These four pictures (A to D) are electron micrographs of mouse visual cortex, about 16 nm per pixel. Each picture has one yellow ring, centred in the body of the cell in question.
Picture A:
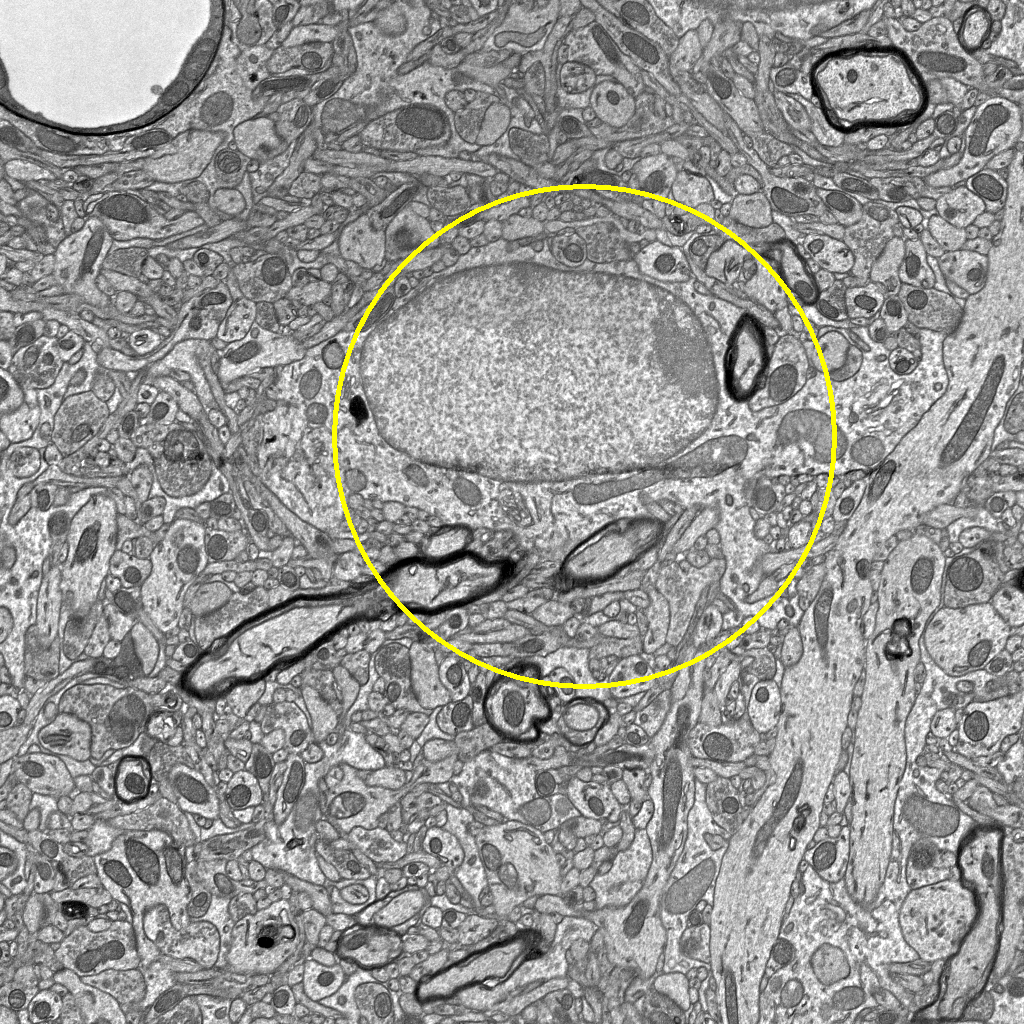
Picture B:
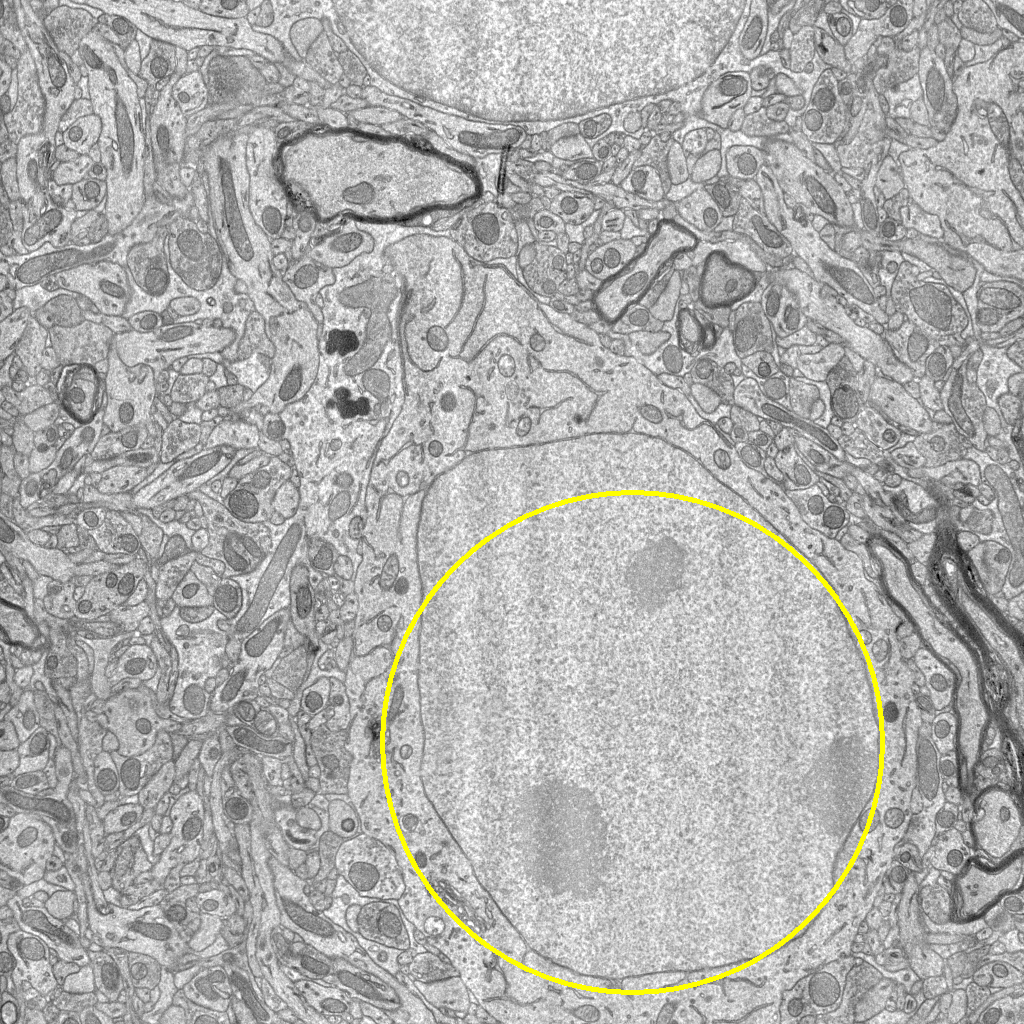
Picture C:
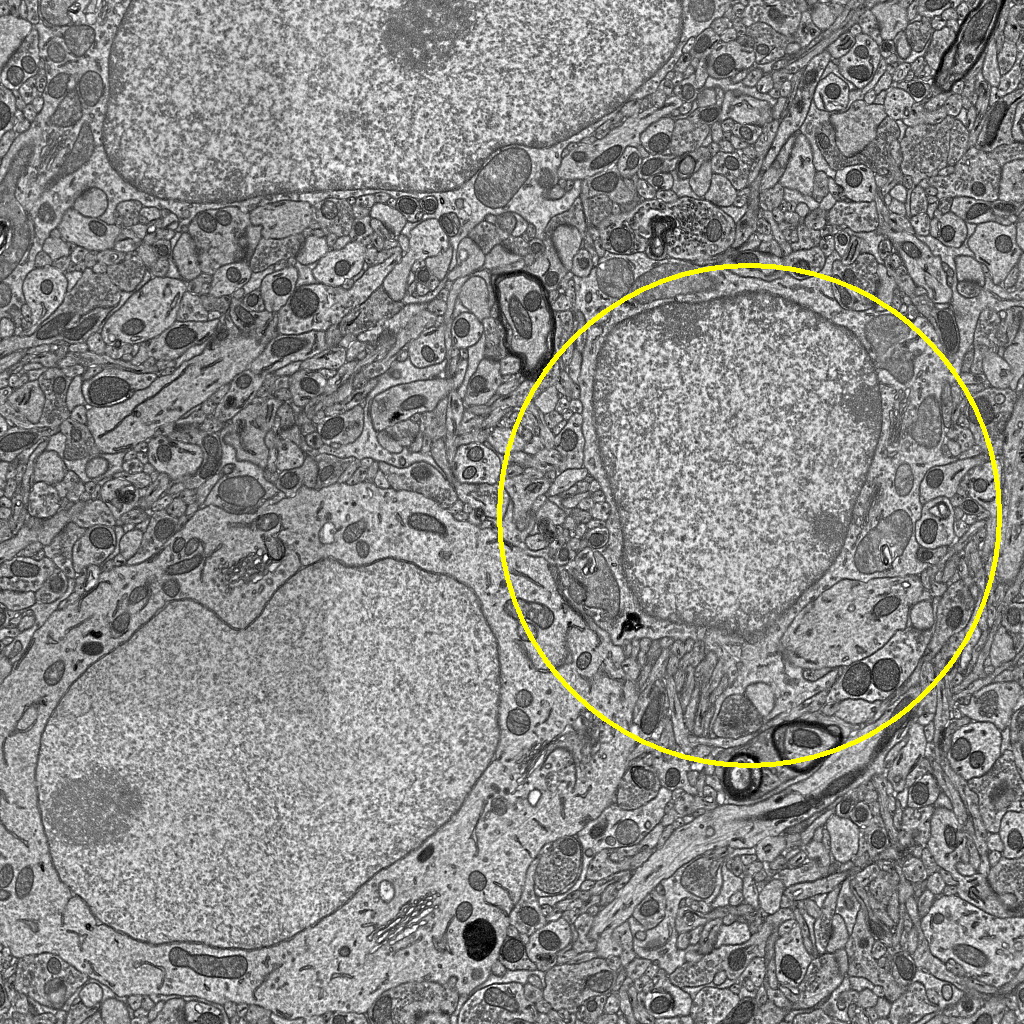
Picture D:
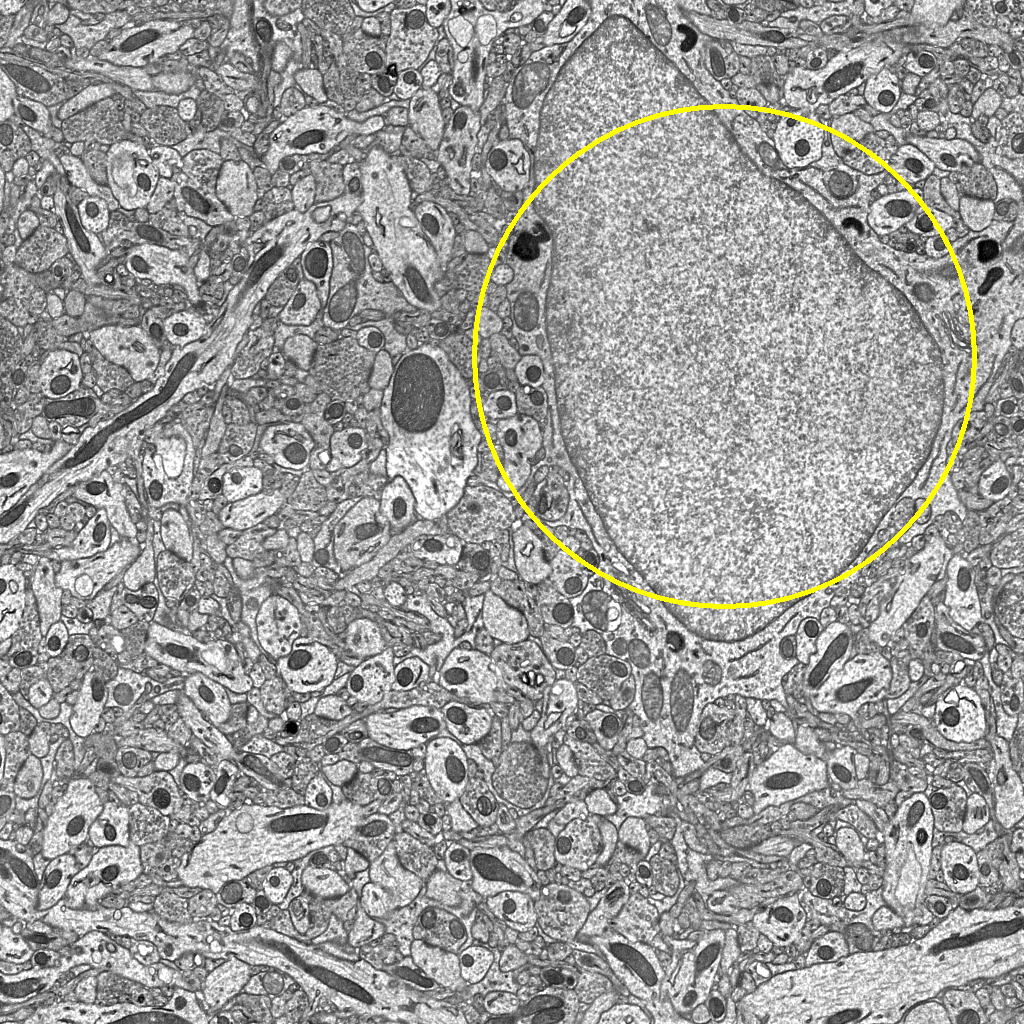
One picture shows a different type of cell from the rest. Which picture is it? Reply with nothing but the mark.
B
